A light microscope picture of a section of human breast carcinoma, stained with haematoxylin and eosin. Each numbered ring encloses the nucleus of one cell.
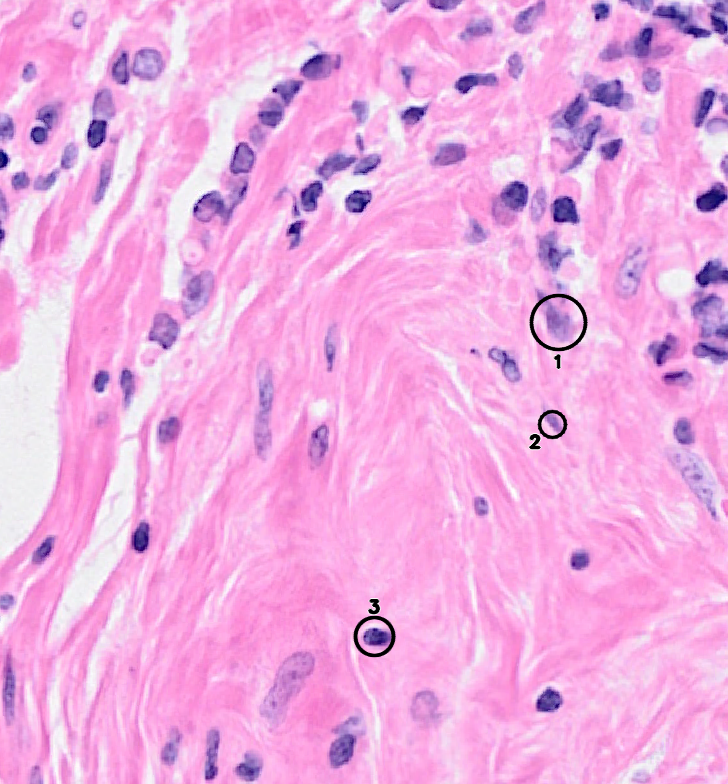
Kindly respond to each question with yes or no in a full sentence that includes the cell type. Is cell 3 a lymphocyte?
Yes, the cell that bears the number 3 is a lymphocyte.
